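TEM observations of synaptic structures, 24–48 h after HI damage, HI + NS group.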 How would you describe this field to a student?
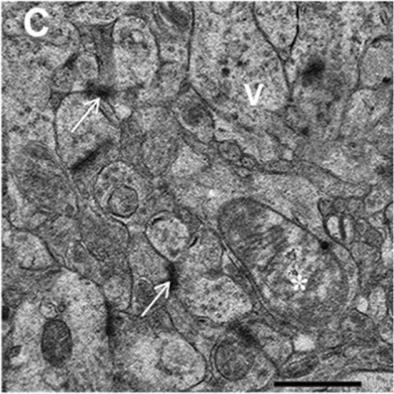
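This electron micrograph shows packed neuropil with many rounded and elongated profiles of nerve terminals and dendrites cut in cross and oblique section. At the right lies a large, swollen mitochondrion whose inner folds are broken up and irregular, in contrast to the smaller, darker, more compact mitochondria elsewhere in the field.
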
